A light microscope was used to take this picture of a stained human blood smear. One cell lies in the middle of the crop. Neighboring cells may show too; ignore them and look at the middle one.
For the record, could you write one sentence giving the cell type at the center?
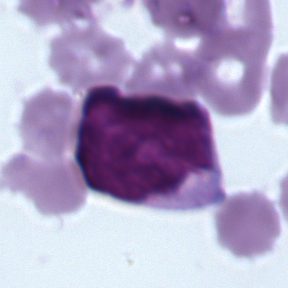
Among the cells in view, the one in the middle is a myeloblast.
